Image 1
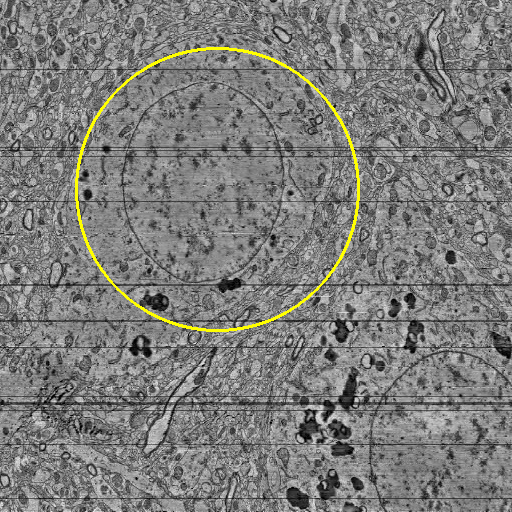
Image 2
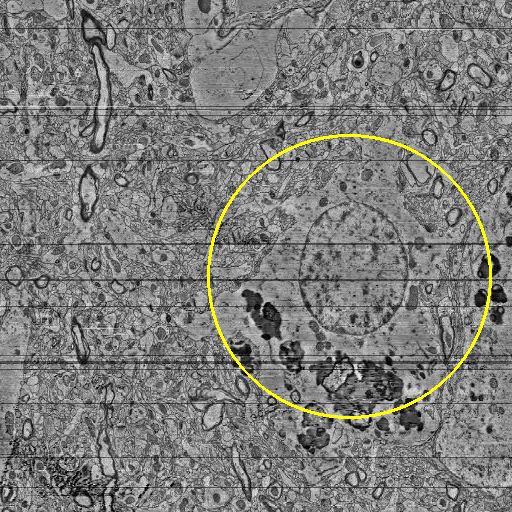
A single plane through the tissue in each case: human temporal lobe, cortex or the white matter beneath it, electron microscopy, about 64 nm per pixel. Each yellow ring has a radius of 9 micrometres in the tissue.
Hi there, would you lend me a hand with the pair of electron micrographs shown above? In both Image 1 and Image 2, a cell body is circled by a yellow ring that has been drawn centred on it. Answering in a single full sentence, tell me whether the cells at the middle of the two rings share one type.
No, the ringed cells in Image 1 and Image 2 belong to two types.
